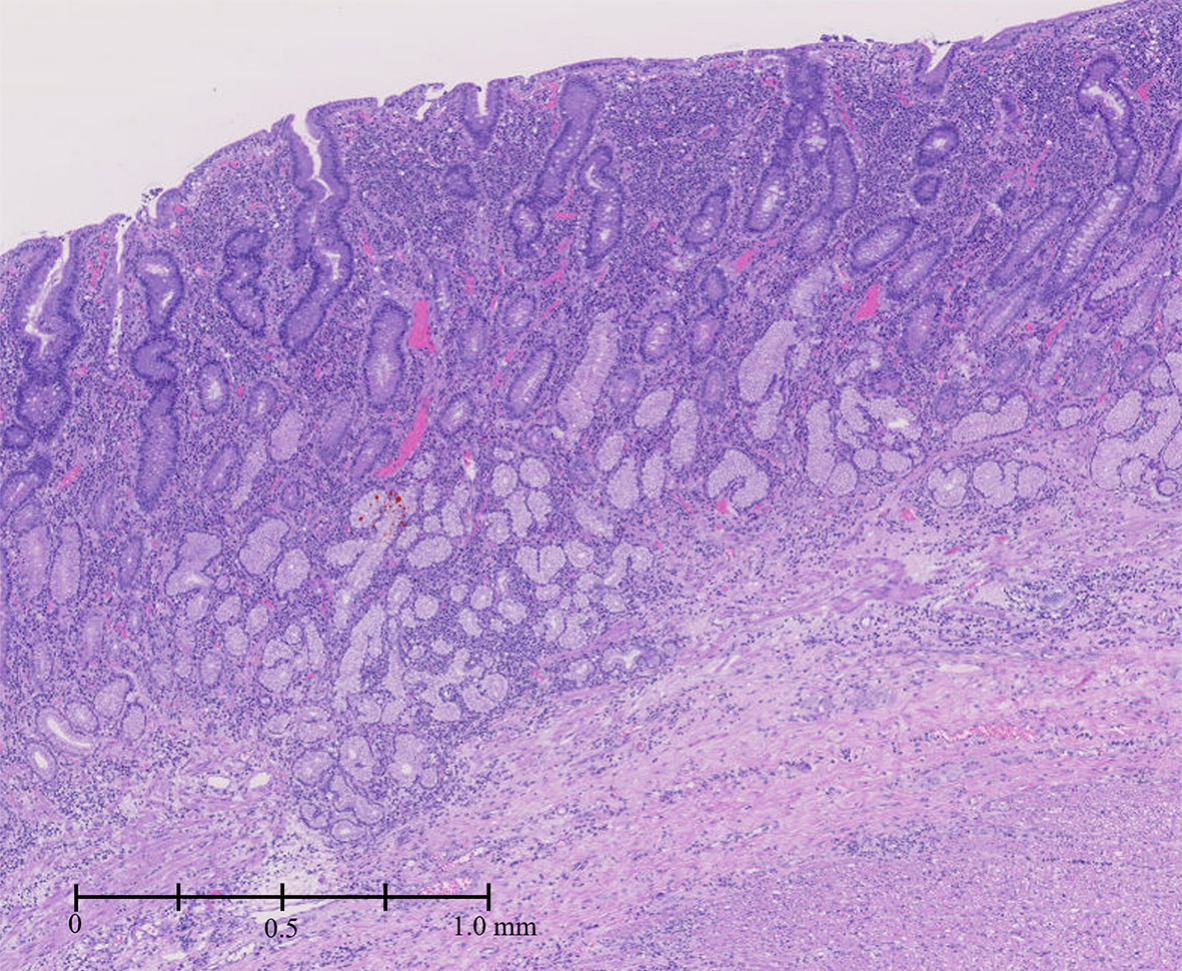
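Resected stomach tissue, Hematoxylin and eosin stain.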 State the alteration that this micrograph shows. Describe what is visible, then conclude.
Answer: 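Inflammatory cell infiltrates. The connective tissue between the glands is crowded with small, dark, round nuclei. This dense cellularity is heaviest in the upper half of the mucosa, between the surface pits. The glands are pushed apart by the packed cells between them.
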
